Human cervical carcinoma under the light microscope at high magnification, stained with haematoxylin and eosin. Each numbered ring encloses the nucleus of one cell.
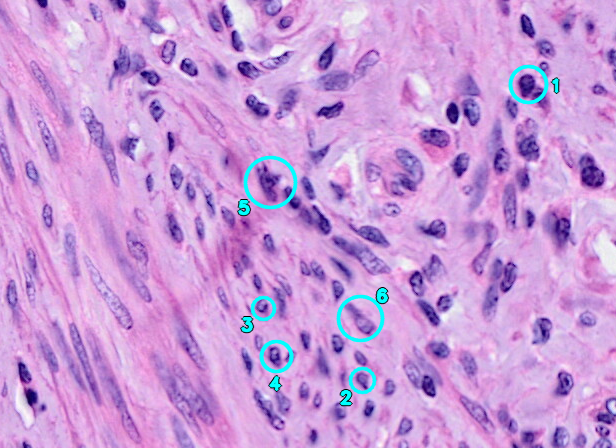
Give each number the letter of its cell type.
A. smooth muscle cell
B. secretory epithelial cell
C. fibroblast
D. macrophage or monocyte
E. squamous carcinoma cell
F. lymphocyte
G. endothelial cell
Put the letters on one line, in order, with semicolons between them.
F; A; A; A; F; A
